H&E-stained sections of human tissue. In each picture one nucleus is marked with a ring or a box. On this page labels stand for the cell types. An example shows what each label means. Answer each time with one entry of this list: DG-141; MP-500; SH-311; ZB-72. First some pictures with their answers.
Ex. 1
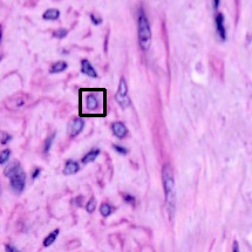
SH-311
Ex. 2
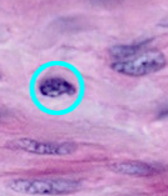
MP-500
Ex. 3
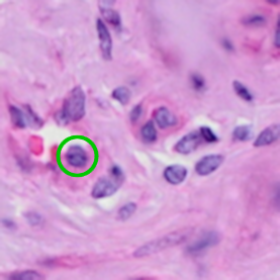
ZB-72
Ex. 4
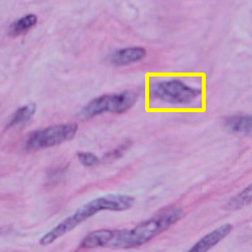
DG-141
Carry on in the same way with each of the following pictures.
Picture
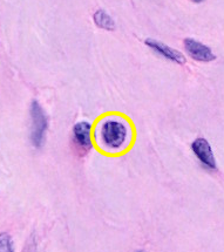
MP-500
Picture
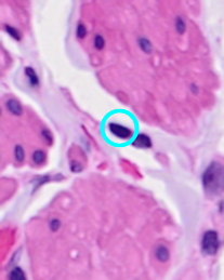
MP-500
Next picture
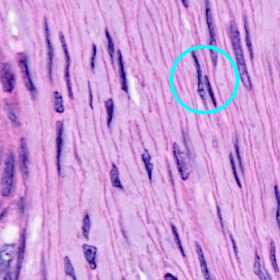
DG-141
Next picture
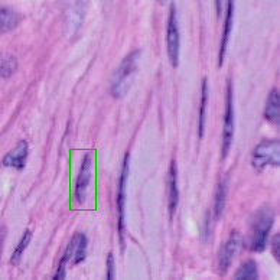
DG-141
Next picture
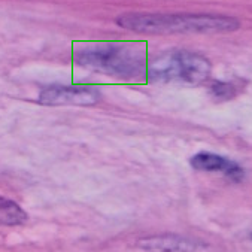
DG-141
